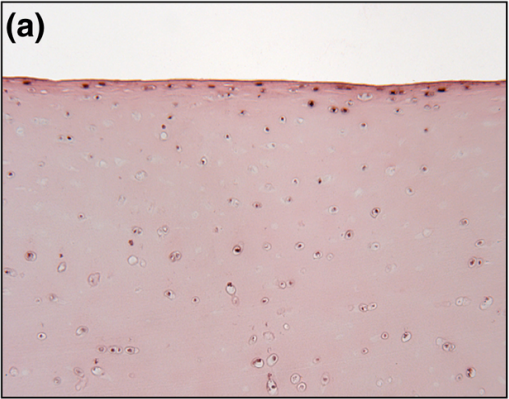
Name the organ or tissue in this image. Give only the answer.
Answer: Cartilage.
